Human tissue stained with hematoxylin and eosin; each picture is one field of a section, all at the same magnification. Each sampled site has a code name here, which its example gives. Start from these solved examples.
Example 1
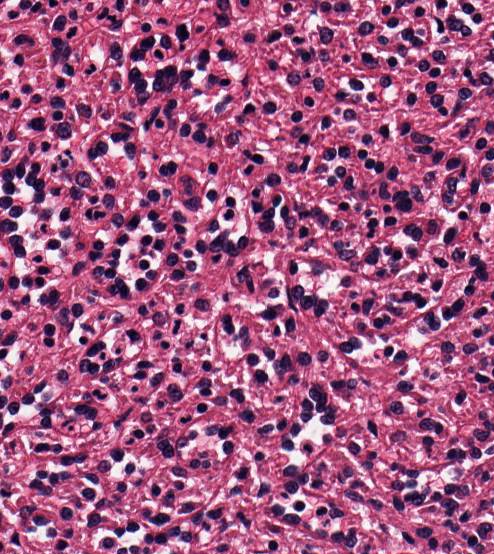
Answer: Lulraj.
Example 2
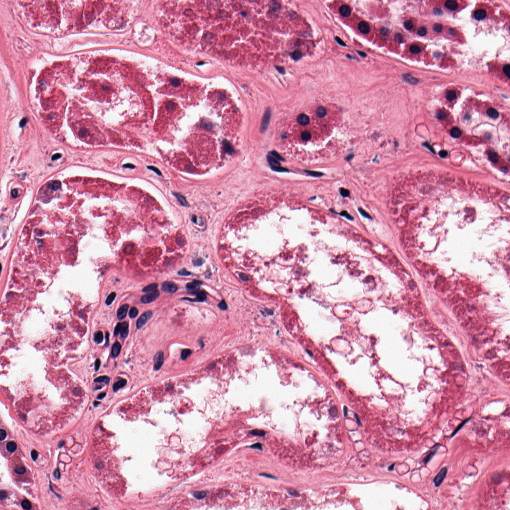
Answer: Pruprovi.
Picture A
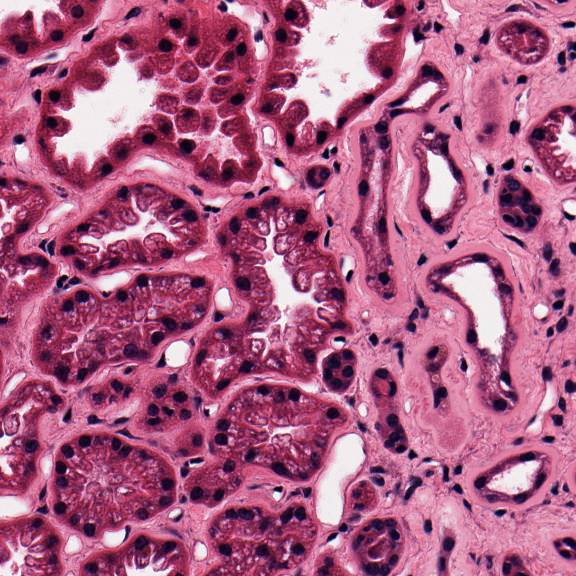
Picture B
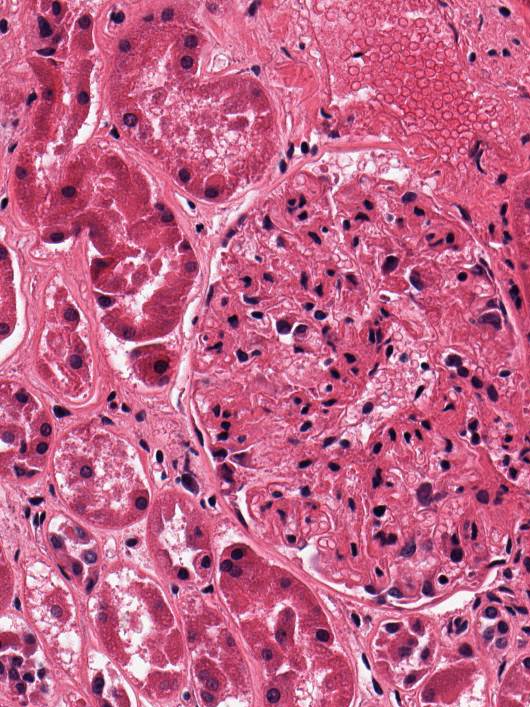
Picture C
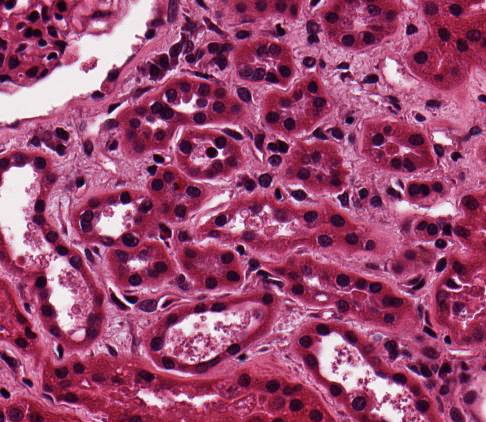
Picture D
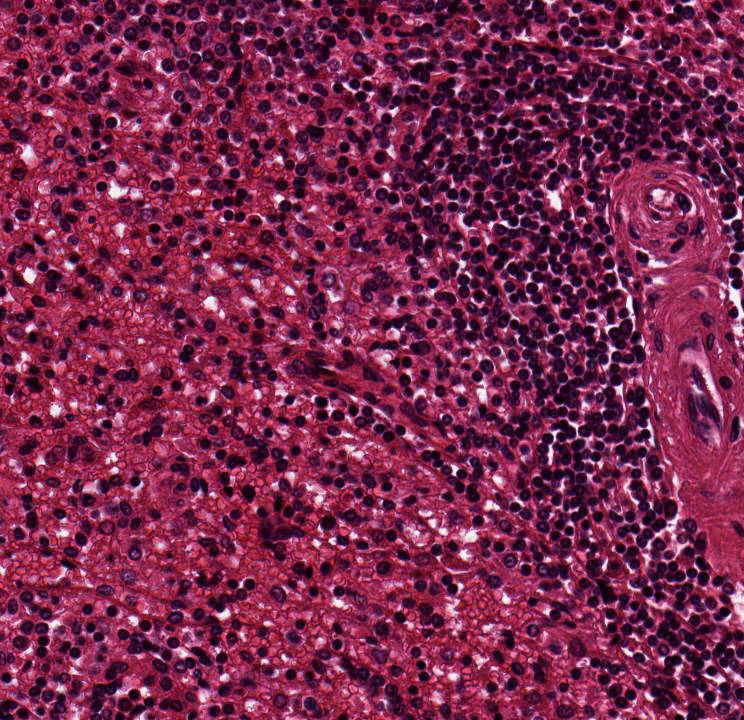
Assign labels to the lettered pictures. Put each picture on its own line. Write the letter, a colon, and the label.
A: Pruprovi.
B: Pruprovi.
C: Pruprovi.
D: Lulraj.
